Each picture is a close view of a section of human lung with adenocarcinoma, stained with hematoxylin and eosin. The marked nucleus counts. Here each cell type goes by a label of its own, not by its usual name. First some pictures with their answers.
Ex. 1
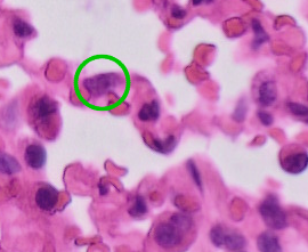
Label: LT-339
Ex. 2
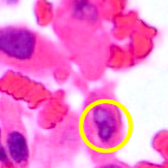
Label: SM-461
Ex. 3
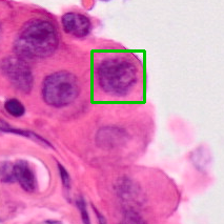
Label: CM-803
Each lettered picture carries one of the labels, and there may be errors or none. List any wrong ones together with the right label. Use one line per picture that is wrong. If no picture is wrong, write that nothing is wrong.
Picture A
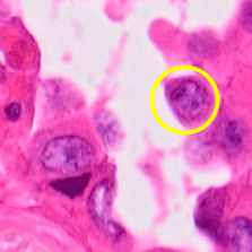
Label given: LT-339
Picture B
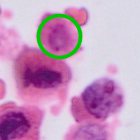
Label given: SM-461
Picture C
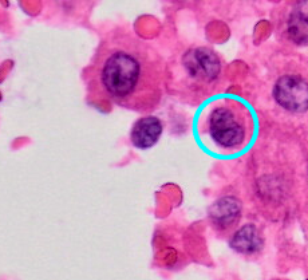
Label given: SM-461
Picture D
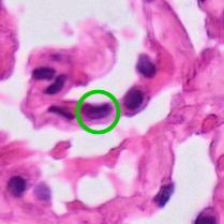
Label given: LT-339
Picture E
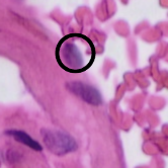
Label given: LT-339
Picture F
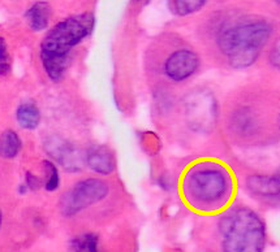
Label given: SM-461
Wrong: A (LT-339); correct: CM-803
